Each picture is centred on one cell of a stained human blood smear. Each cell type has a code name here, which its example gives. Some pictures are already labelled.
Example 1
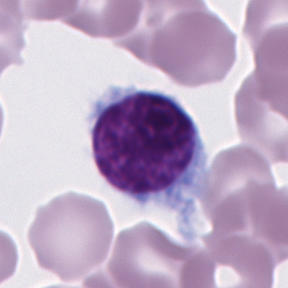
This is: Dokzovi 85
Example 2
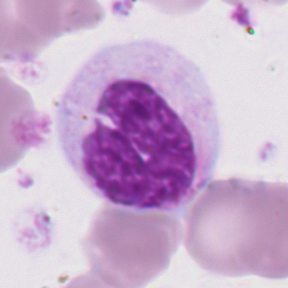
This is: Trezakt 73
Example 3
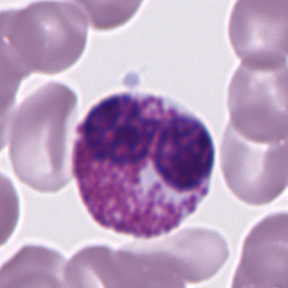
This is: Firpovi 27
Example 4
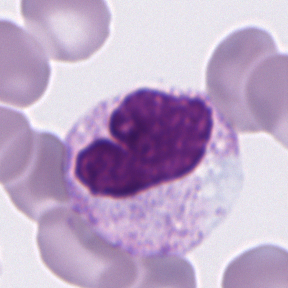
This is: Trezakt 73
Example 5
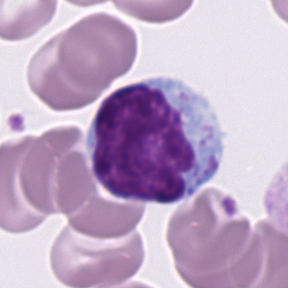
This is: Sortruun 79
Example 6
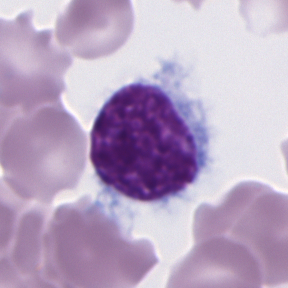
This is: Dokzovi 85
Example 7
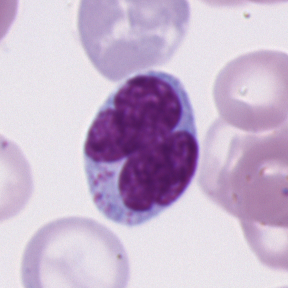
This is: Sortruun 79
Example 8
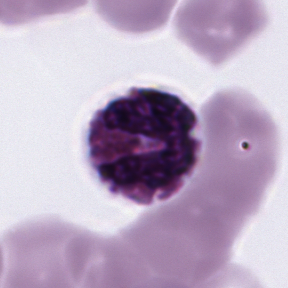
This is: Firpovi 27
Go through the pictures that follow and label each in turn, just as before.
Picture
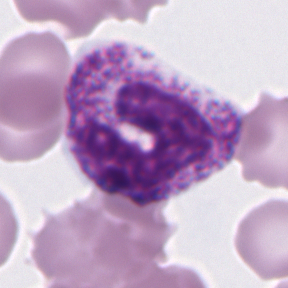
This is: Trezakt 73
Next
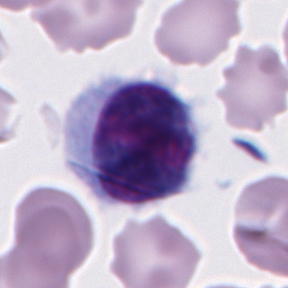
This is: Dokzovi 85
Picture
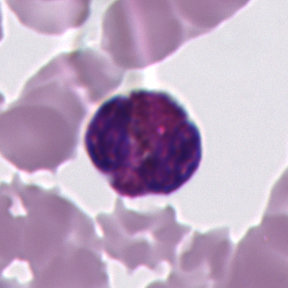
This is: Firpovi 27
